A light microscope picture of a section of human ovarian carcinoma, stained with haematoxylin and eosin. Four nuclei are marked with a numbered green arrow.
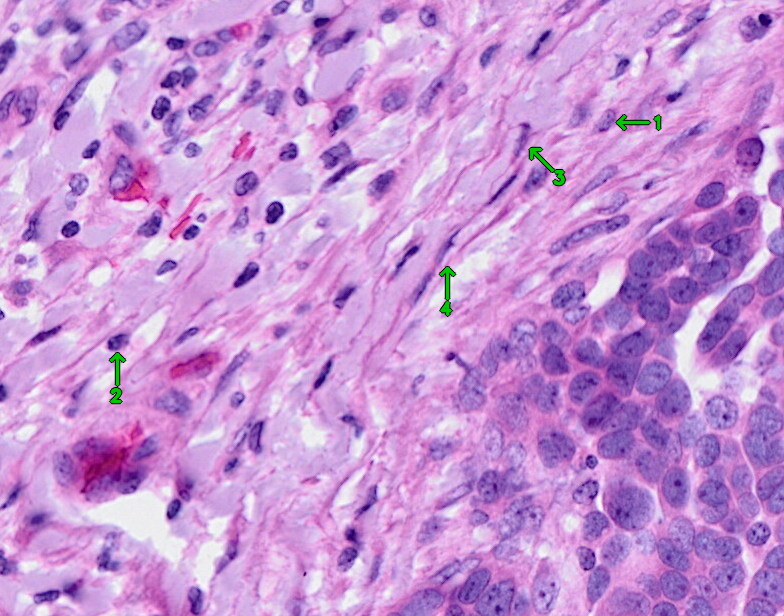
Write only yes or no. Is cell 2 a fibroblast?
no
